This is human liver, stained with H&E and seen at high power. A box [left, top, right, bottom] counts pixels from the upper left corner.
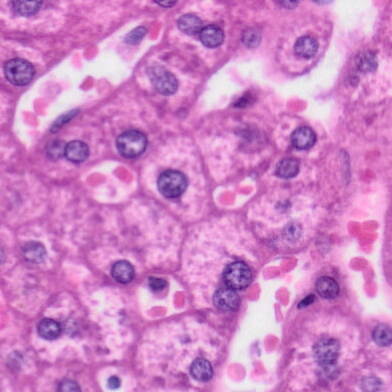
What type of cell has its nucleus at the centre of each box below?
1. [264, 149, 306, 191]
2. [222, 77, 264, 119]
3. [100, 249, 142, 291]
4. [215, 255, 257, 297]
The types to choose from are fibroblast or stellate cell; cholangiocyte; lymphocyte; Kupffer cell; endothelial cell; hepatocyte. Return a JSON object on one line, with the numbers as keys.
{"1": "hepatocyte", "2": "Kupffer cell", "3": "hepatocyte", "4": "hepatocyte"}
